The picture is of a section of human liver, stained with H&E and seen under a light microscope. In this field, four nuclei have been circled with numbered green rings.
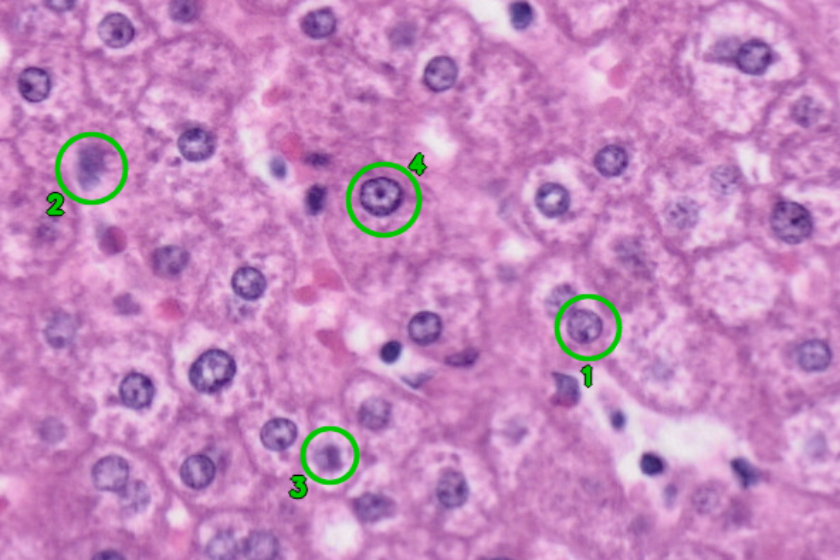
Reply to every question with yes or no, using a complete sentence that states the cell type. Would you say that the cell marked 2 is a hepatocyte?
No, cell 2 is to be read as an endothelial cell, not a hepatocyte.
